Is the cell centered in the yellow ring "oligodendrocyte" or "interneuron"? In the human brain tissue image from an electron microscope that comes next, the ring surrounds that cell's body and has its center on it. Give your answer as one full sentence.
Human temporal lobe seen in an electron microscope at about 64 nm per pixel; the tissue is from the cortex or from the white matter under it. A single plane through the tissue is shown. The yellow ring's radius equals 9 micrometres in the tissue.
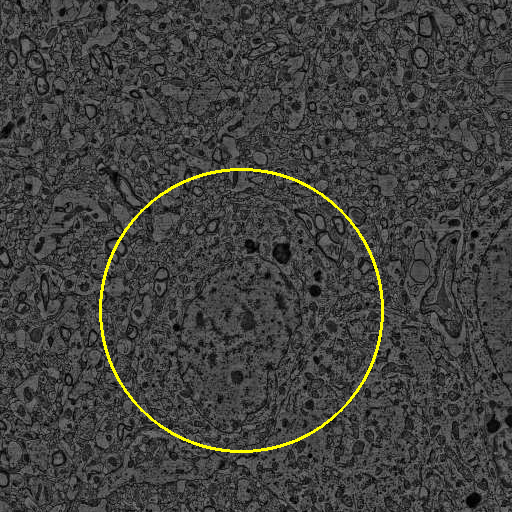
The cell at the center of the yellow ring is an interneuron in the micrograph.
